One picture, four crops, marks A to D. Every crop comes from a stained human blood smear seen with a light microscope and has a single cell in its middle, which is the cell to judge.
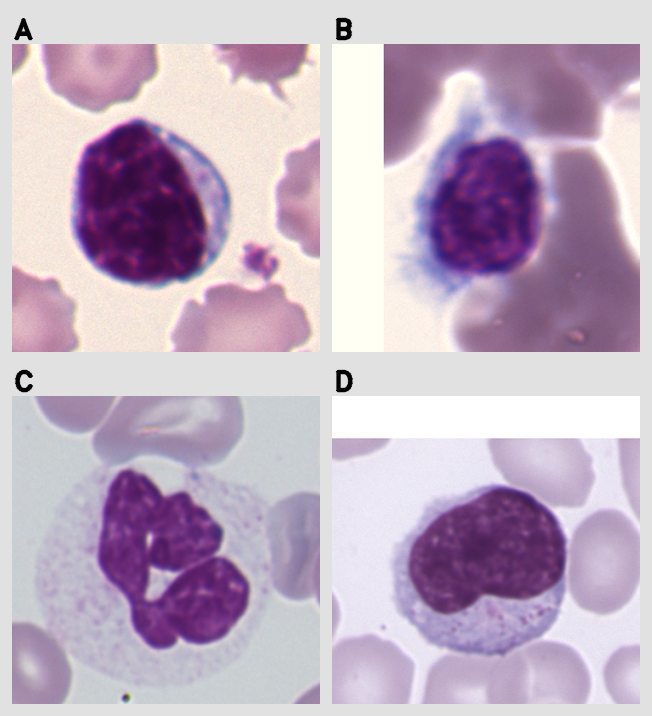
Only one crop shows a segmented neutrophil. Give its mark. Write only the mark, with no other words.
C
